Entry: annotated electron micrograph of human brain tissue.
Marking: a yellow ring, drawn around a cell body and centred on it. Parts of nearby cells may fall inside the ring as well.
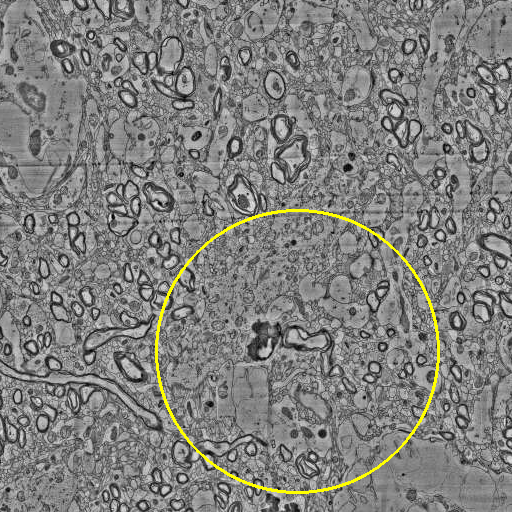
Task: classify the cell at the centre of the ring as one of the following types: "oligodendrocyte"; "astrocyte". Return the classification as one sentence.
The marked cell is classified as an oligodendrocyte.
